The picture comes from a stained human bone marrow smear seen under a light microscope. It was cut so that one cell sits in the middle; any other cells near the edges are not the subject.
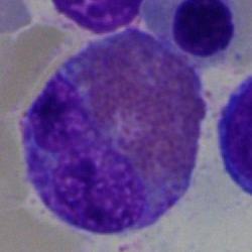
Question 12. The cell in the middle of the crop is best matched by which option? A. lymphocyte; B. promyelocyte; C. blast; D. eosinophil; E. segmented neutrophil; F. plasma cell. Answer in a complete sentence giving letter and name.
Since the cell in the centre is an eosinophil, the correct option is D.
